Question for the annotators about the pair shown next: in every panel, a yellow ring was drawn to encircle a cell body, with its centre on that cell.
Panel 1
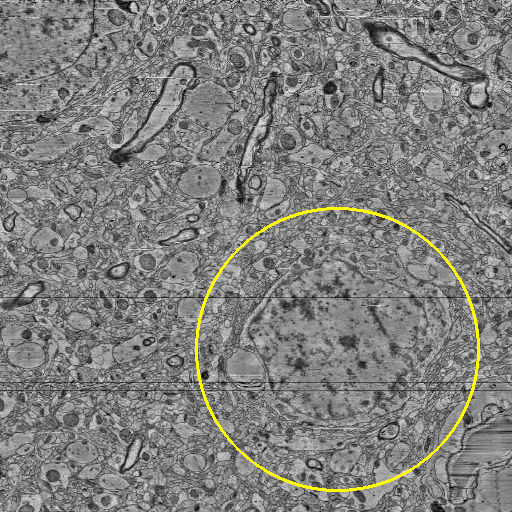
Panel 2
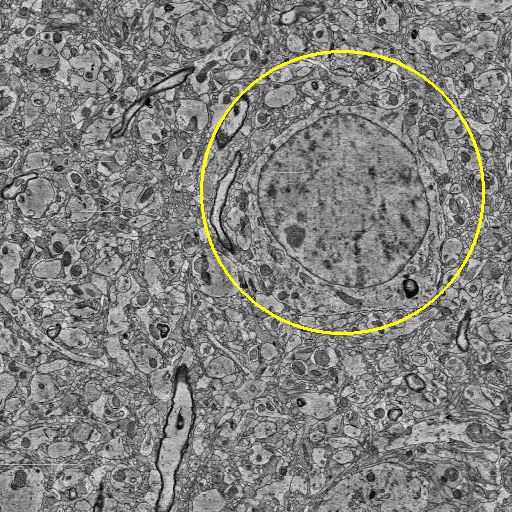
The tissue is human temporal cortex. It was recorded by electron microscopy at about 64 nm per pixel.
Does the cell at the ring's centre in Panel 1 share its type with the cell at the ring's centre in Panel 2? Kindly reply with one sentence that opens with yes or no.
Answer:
No, in Panels 1 and 2 the cells at the ring centres belong to separate types.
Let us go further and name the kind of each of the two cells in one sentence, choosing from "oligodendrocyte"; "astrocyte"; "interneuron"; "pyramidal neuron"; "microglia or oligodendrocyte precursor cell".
The ring of the first picture is on an interneuron, the ring of the second on a pyramidal neuron.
